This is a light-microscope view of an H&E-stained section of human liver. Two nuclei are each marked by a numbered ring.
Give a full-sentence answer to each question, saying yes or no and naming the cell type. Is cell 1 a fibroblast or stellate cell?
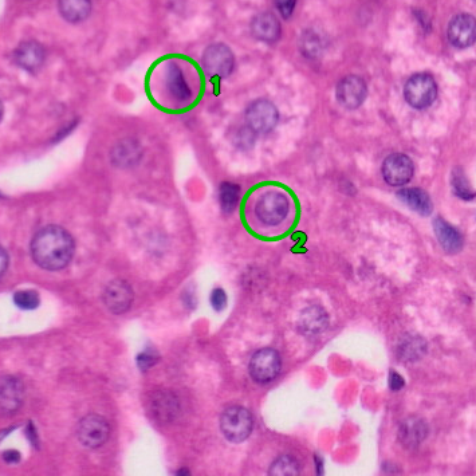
Yes, cell 1 among the marked cells is a fibroblast or stellate cell.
